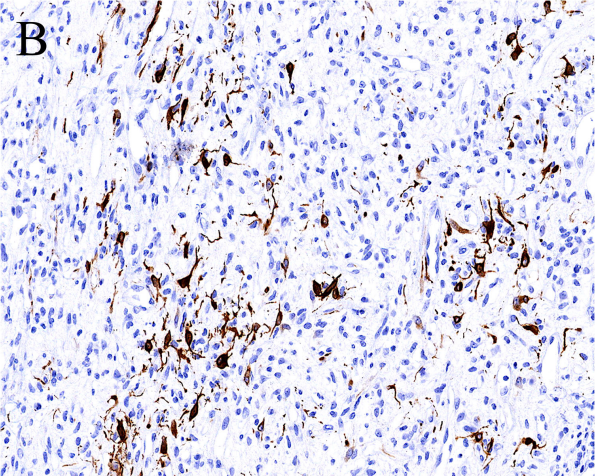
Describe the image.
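This is a cellular stroma made of spindle-shaped and oval cells with pale blue, oval nuclei and indistinct cytoplasm. Scattered among them, a minority of cells are stained brown in their cytoplasm. These stained cells are stellate, sending out thin branching processes in several directions, giving a dendritic look. The staining is patchy, with clusters of positive cells in some areas and large fields of unstained cells in others. The background cells lie loosely without forming glands or layers.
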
